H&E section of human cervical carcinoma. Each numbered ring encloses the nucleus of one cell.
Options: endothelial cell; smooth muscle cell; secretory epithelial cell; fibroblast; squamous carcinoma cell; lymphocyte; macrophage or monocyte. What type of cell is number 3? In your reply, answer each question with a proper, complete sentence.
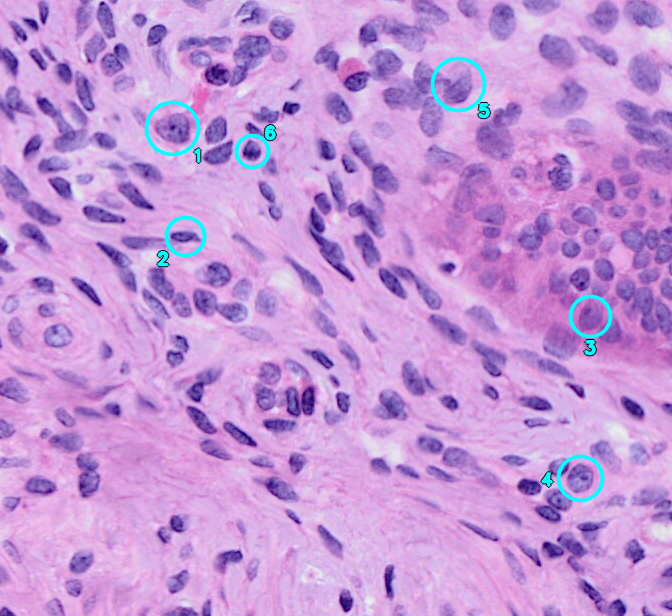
The cell assigned the number 3 is a secretory epithelial cell.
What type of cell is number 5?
The cell assigned the number 5 is a fibroblast.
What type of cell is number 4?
The cell indicated by marker 4 is an endothelial cell in this section.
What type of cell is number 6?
The cell marked with number 6 is a fibroblast.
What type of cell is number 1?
Cell 1 in the field is an endothelial cell.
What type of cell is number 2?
The numbered cell 2 in this field is a fibroblast.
